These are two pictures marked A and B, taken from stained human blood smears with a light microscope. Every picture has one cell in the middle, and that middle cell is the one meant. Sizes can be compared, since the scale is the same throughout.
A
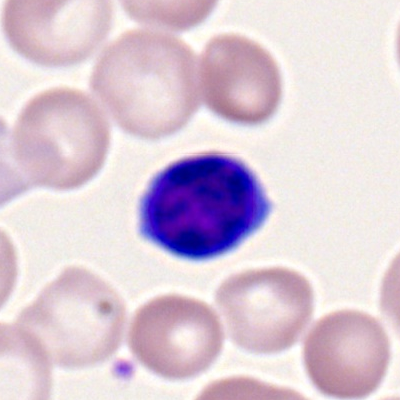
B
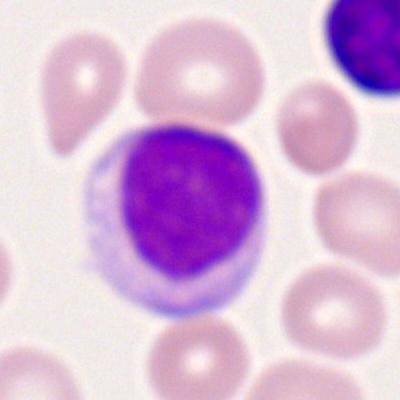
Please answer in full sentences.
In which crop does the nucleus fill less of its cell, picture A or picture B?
Of the two, the nucleus in picture B leaves more room for cytoplasm.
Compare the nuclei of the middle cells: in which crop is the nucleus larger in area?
Picture B shows the larger nucleus; it covers about 2 times the area of the nucleus in picture A.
